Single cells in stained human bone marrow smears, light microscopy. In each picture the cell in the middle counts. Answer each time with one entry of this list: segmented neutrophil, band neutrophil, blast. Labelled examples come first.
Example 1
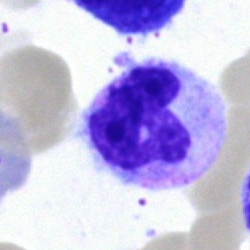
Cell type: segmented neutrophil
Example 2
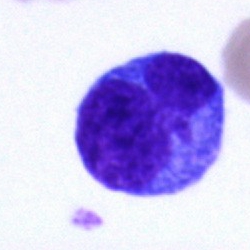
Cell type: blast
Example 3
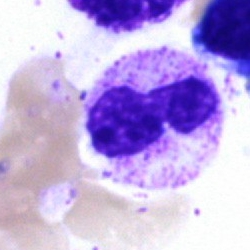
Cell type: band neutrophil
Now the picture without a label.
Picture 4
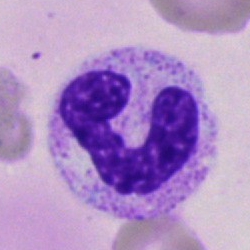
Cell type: segmented neutrophil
